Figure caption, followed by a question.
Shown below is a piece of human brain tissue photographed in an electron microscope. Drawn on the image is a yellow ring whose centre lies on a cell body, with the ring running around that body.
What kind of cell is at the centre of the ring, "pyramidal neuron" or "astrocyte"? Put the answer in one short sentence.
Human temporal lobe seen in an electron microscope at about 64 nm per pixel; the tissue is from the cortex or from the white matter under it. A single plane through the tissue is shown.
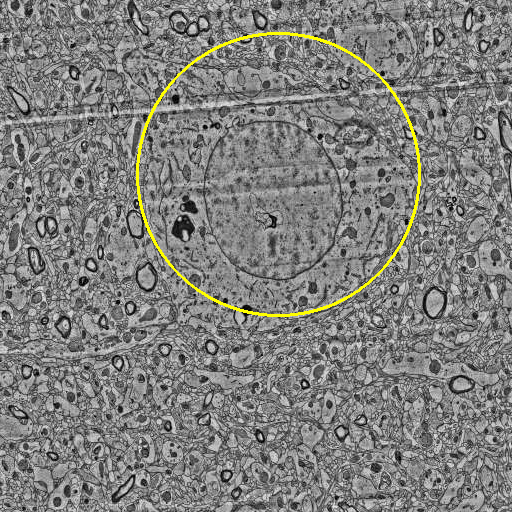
The ring marks the cell body of a pyramidal neuron.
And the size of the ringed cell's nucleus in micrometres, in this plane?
In this plane, approximately 10 by 9 micrometers.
